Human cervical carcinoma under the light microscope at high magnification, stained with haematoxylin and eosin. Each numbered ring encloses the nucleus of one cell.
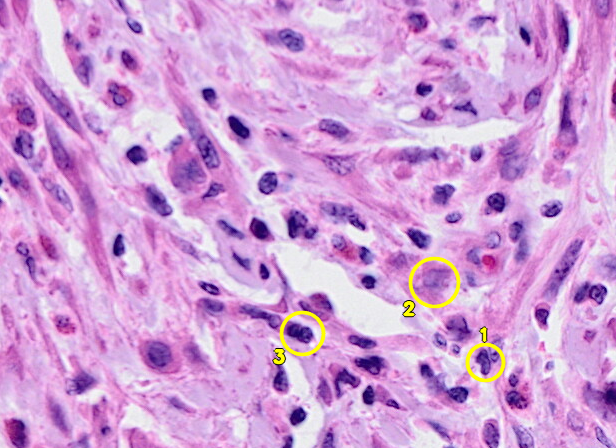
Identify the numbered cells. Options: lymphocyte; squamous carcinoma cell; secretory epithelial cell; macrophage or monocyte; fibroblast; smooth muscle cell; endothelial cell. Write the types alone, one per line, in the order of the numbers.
lymphocyte
endothelial cell
lymphocyte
